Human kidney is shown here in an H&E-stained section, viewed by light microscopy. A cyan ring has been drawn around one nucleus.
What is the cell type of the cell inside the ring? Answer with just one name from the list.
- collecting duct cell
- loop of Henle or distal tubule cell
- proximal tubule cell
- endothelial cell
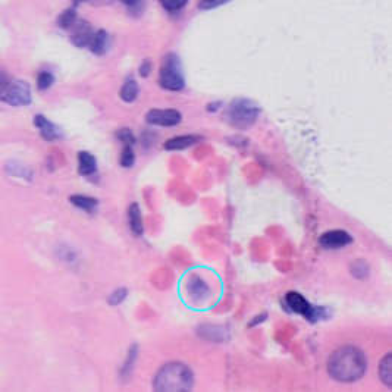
endothelial cell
